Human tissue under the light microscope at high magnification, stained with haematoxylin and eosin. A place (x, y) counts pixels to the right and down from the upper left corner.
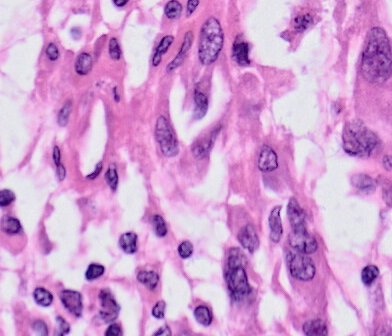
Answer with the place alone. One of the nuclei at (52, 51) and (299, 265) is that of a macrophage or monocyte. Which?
(52, 51)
